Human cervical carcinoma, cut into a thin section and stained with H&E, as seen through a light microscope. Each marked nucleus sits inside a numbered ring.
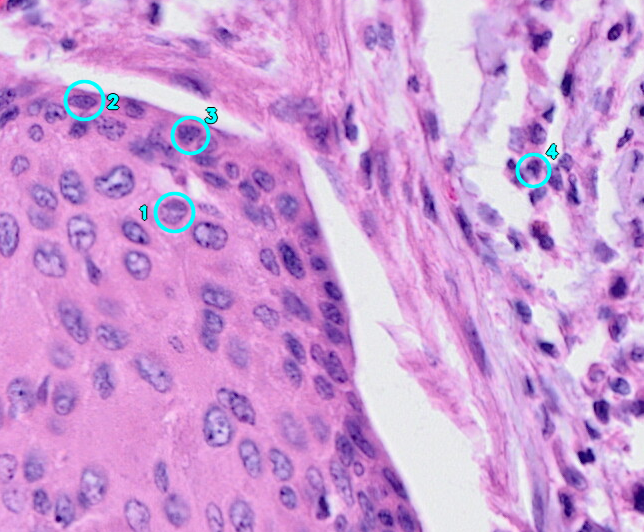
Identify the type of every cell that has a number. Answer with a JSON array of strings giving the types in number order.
["squamous carcinoma cell", "squamous carcinoma cell", "squamous carcinoma cell", "lymphocyte"]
